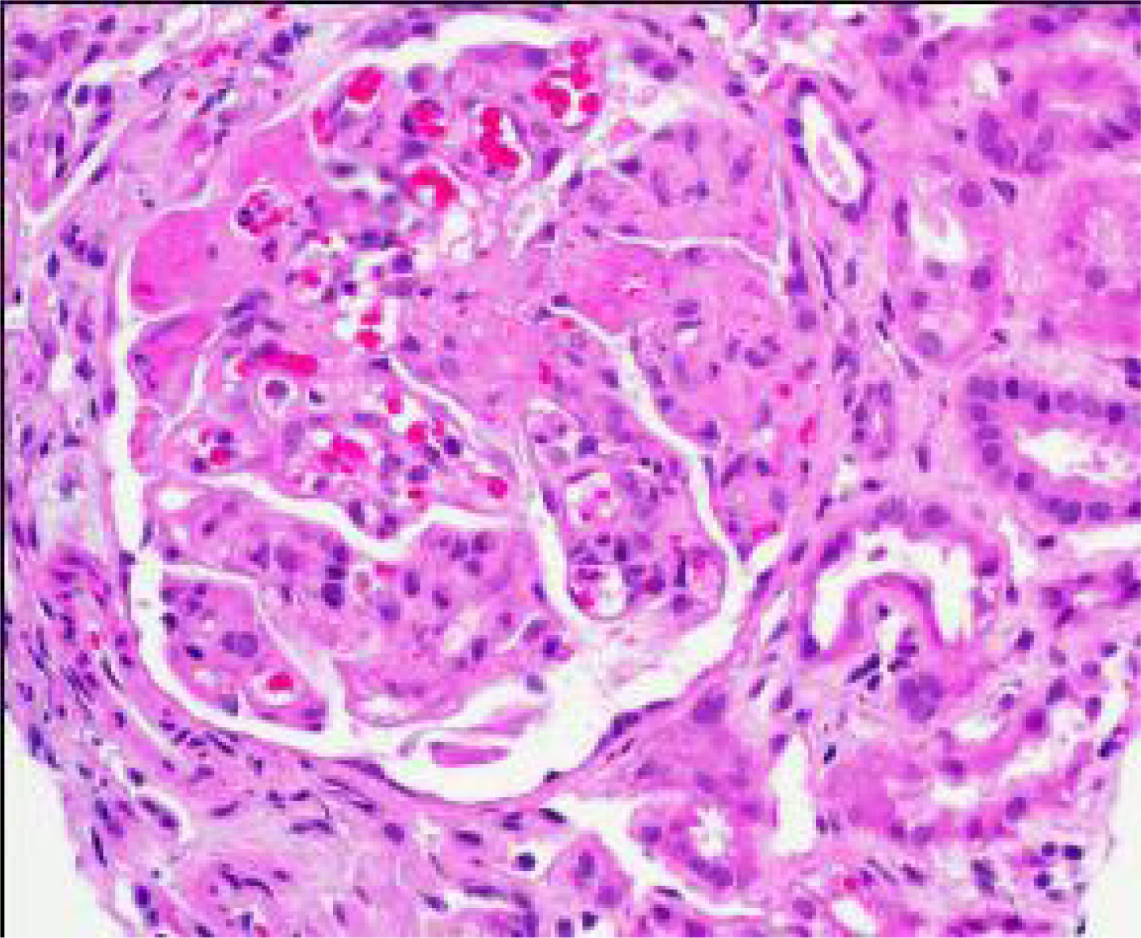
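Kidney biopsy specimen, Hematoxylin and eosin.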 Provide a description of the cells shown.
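A glomerulus occupies the centre, its tuft divided into lobules separated by clear slits and enclosed by a thin capsule with a clear space around it. Several capillary loops, mainly toward the top, contain bright red blood cells, some dilated. Other loops, especially at the upper left, are filled with smooth, glassy pink material without cells. Purple nuclei crowd the lobules among pale pink matrix. Around the glomerulus lie tubules lined by cuboidal cells with pink cytoplasm and round nuclei, some with open lumens, and spindle-shaped nuclei in the surrounding connective tissue at the left.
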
